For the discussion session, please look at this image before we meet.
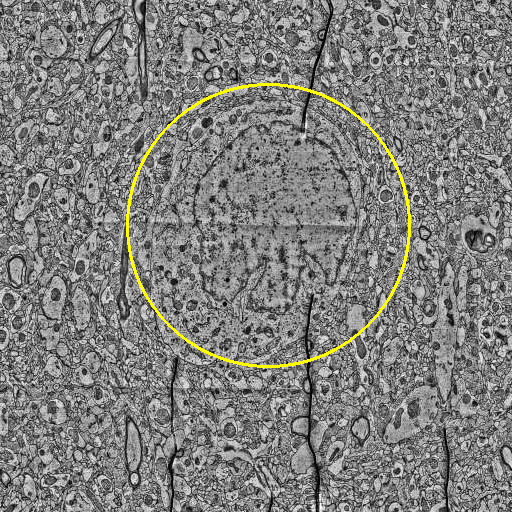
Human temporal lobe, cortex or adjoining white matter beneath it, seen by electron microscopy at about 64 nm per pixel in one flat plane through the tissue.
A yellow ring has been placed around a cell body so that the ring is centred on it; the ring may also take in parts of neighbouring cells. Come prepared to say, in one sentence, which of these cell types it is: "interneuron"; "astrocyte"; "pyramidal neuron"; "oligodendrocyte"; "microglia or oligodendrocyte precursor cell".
The cell centred in the ring is an interneuron.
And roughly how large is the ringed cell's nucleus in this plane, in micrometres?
In this plane, the nucleus of the cell at the centre of the ring measures about 12 by 10 micrometres.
